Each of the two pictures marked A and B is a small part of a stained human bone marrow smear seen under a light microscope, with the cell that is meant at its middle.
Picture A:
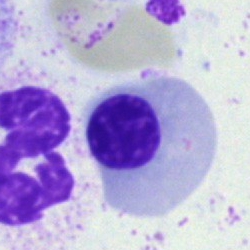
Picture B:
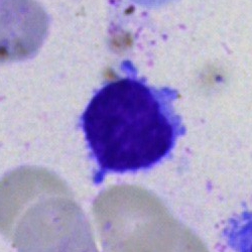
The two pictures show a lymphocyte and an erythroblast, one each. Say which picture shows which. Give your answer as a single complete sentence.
In picture A the cell is an erythroblast; in picture B, a lymphocyte.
